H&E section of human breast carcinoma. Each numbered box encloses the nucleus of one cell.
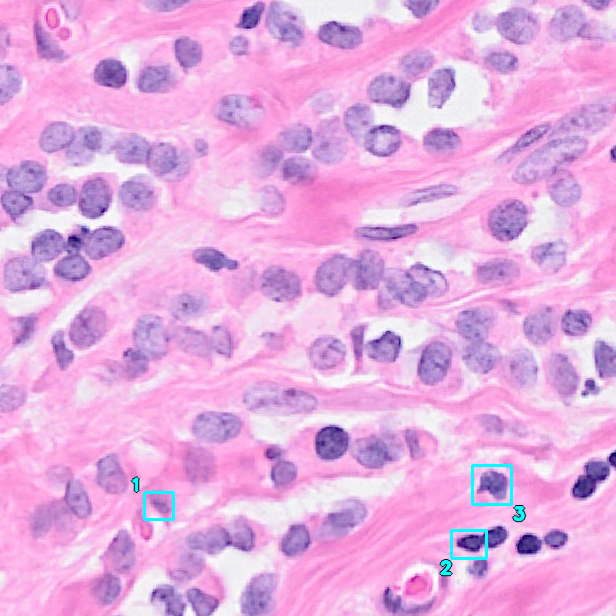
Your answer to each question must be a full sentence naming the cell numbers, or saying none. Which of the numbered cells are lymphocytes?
Cells 2 and 3 in the section are typed as lymphocytes.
